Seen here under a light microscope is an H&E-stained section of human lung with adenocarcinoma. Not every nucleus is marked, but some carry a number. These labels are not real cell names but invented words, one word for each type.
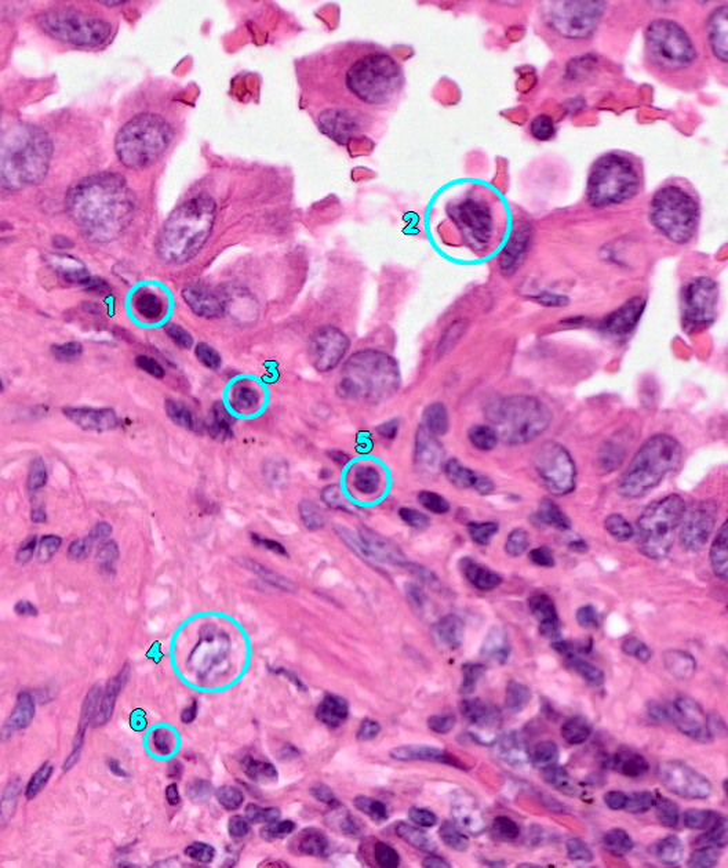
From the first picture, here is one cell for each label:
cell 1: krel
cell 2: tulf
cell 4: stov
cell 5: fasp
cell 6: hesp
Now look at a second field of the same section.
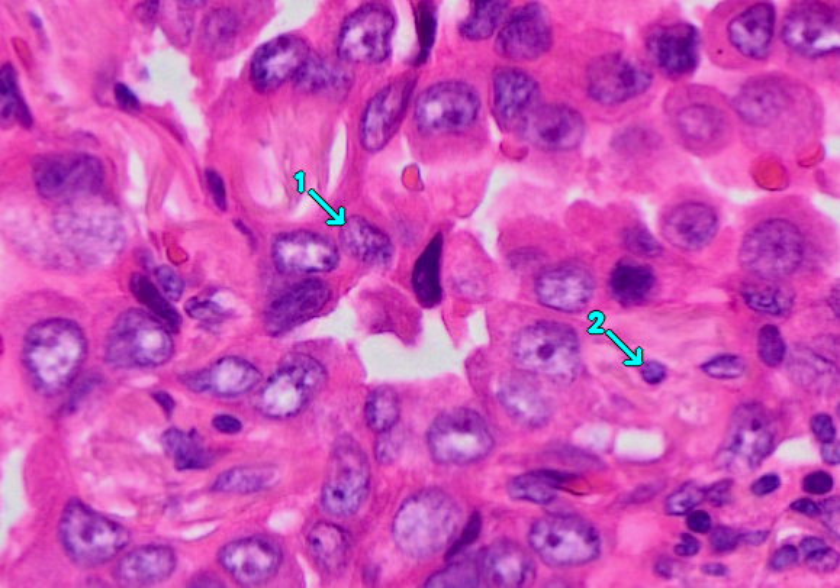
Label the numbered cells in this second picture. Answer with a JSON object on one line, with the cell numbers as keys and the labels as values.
{"1": "tulf", "2": "hesp"}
